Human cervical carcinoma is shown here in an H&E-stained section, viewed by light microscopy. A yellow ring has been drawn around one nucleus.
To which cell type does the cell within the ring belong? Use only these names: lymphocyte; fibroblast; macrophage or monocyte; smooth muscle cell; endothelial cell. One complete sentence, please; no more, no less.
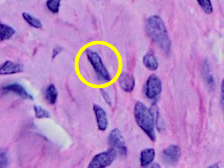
In this tissue sample, the cell within the ring is a fibroblast.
